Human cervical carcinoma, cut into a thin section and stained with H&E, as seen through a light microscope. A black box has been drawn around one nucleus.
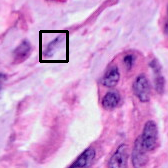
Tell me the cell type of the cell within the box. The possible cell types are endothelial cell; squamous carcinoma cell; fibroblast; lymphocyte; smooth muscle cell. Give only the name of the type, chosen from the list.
fibroblast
